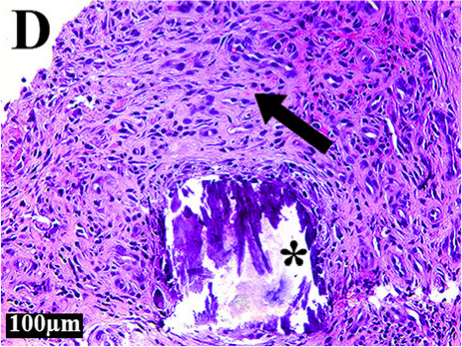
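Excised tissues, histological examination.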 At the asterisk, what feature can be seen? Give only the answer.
mineral deposition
